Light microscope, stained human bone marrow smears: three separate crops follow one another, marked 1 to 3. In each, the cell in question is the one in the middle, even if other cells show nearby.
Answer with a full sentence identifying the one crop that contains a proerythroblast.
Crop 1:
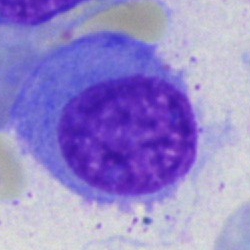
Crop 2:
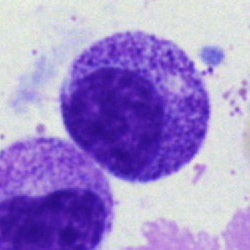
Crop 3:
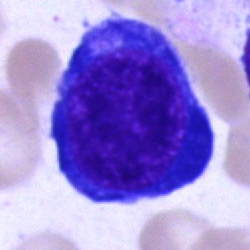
The crop marked 3 is the one in which a proerythroblast is shown.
